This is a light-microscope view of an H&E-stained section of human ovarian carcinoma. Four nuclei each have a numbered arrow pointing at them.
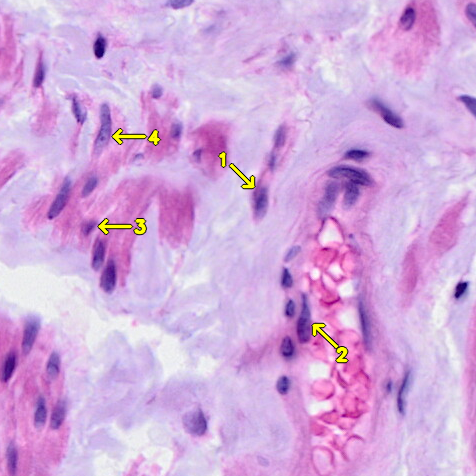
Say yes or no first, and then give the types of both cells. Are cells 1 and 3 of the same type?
Yes, the cell labelled 1 and the cell labelled 3 are both smooth muscle cells.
